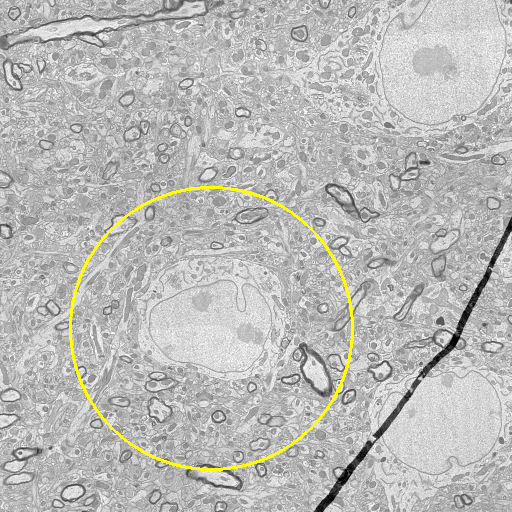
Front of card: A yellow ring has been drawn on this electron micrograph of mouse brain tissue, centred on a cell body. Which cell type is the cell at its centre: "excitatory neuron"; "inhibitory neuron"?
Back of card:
excitatory neuron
